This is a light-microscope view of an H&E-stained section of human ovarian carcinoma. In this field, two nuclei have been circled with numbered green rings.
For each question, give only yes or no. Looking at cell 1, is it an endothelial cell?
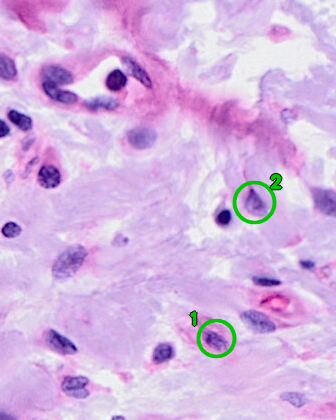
yes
